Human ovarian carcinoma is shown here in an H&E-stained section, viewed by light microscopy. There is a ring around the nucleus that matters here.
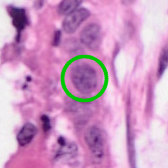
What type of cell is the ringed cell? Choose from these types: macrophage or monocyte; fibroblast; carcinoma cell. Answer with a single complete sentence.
Microscopically, the ringed cell is categorized as a carcinoma cell.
